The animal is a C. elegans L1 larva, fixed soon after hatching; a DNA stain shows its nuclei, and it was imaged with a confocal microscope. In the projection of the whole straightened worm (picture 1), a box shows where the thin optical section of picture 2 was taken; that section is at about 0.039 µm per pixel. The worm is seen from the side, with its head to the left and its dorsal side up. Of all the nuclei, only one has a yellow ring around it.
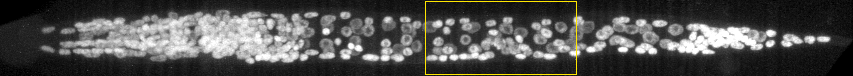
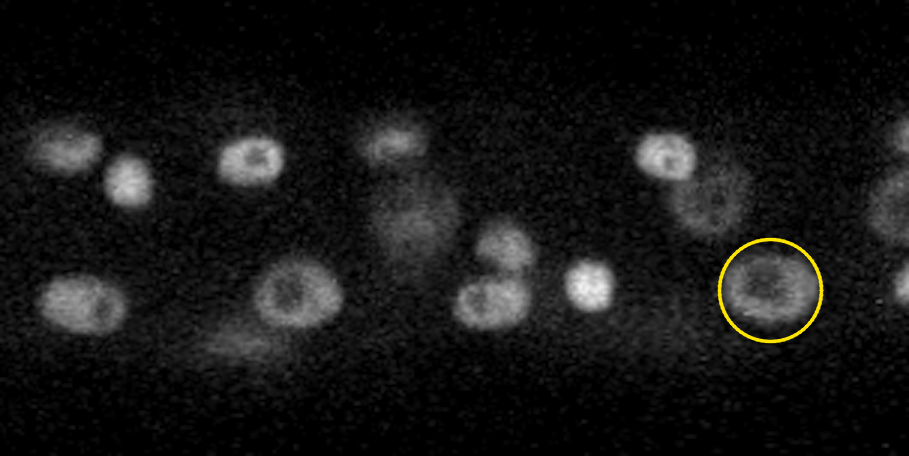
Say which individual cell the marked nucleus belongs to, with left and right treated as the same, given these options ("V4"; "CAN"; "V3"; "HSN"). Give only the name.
V4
